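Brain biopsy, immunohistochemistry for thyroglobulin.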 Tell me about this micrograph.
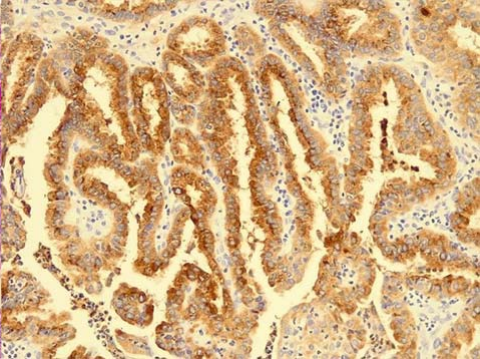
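Branching papillae of a carcinoma, lined by tumour cells whose cytoplasm stains strongly brown. The thin stromal cores between them and the surrounding tissue stay pale, showing only blue nuclei.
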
